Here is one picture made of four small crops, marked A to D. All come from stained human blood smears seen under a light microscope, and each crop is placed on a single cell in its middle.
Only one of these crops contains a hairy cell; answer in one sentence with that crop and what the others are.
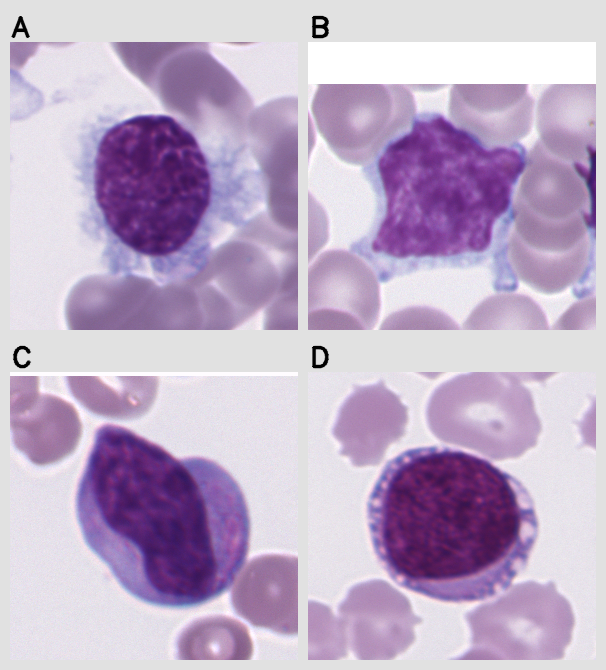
The cell shown in crop A is a hairy cell, whereas crop B is a typical lymphocyte, crop C is an atypical promyelocyte and crop D is a myeloblast.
